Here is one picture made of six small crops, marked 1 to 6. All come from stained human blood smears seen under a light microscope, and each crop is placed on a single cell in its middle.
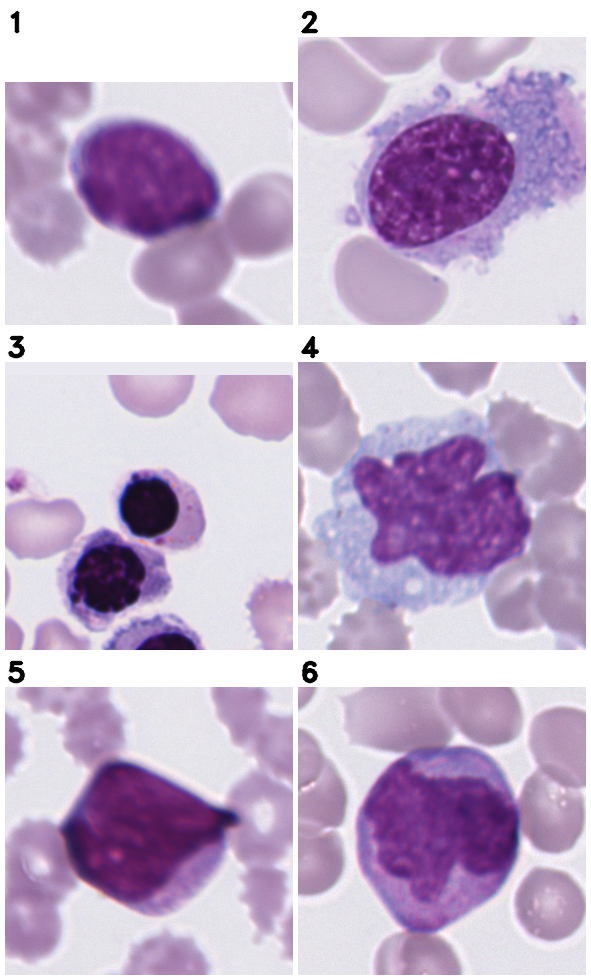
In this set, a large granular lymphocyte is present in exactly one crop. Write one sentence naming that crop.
The crop marked 1 is the one that shows a large granular lymphocyte.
